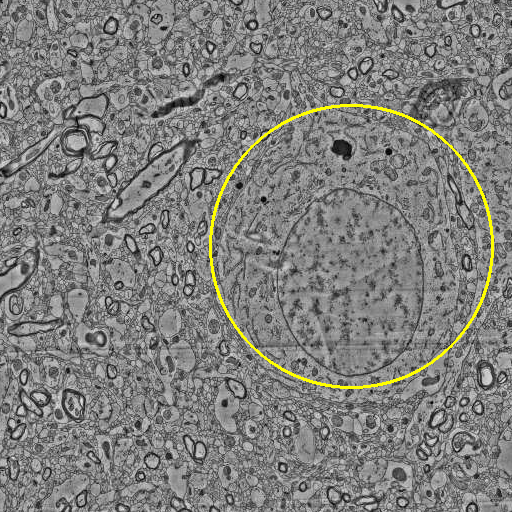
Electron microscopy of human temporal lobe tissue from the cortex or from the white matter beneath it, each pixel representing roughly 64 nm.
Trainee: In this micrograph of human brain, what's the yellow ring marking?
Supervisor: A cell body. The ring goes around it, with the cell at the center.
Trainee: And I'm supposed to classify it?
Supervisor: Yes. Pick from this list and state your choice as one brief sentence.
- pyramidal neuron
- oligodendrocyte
The cell at the ring's center is a pyramidal neuron.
